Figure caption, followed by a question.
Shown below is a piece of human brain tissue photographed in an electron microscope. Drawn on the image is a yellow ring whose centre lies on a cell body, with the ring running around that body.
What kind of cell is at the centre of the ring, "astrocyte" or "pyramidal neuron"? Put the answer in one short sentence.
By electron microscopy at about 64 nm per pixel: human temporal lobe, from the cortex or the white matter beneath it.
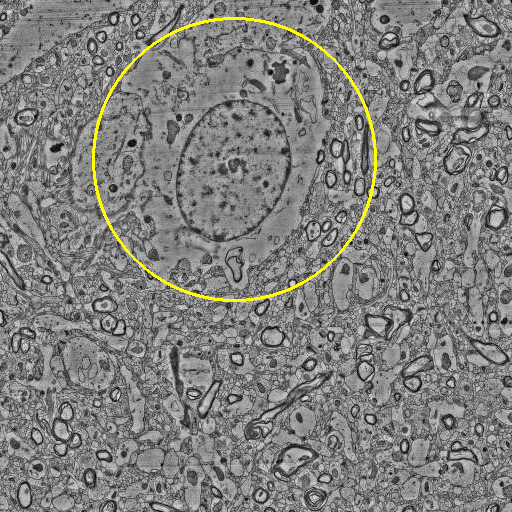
The ring marks the cell body of an astrocyte.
